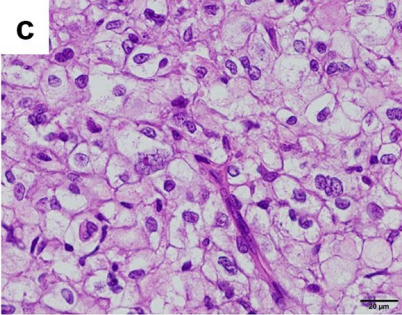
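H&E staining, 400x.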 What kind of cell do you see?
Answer: Larger epithelioid cells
